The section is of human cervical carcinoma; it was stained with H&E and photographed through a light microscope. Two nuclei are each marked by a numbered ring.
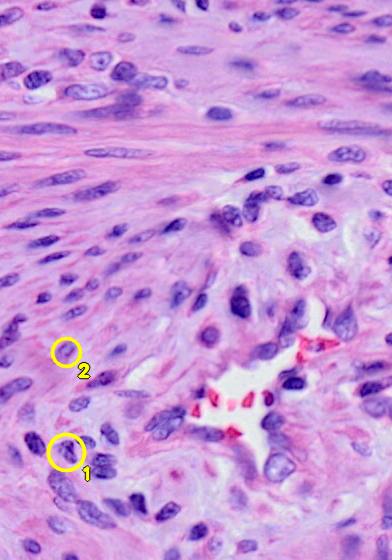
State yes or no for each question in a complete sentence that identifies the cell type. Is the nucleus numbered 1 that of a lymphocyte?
Yes, the cell that bears number 1 is a lymphocyte.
